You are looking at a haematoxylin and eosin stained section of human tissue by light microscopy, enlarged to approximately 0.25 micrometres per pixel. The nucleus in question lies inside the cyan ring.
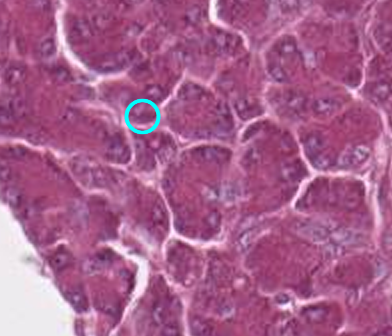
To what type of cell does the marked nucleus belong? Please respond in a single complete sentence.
To a pancreatic acinar cell belongs the marked nucleus.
